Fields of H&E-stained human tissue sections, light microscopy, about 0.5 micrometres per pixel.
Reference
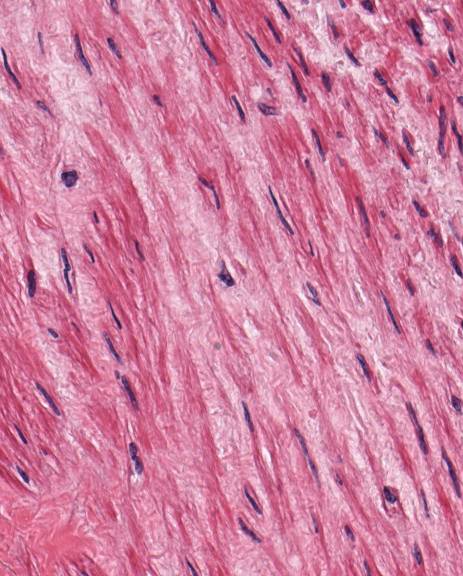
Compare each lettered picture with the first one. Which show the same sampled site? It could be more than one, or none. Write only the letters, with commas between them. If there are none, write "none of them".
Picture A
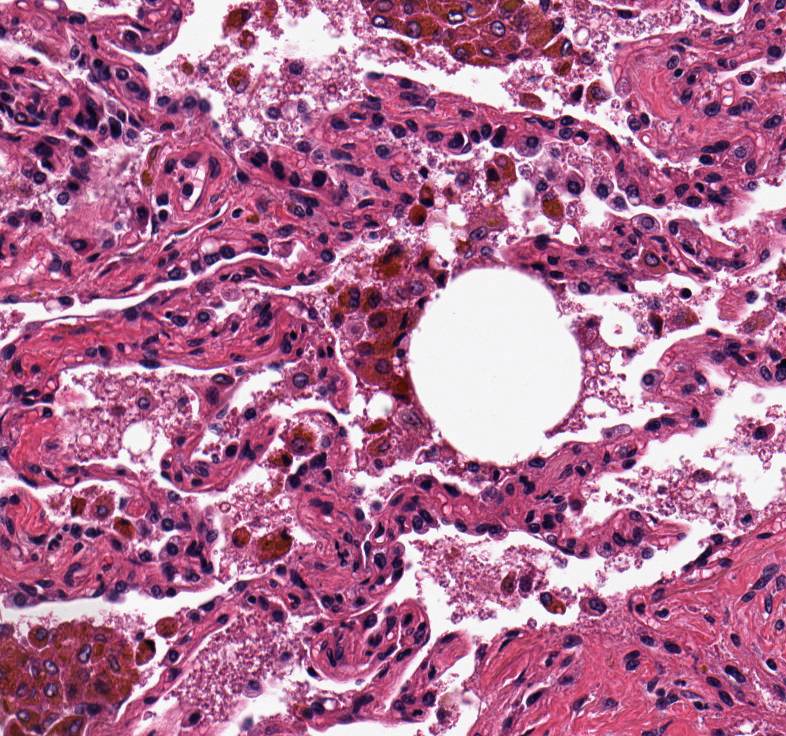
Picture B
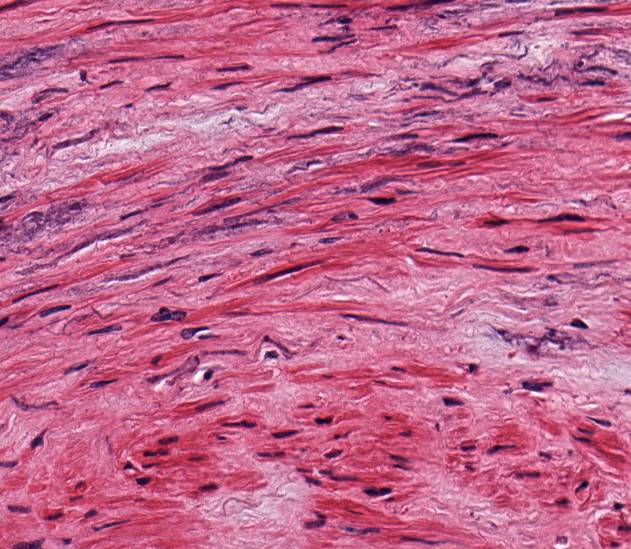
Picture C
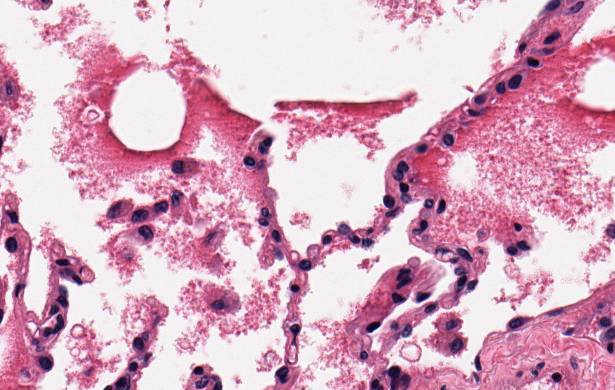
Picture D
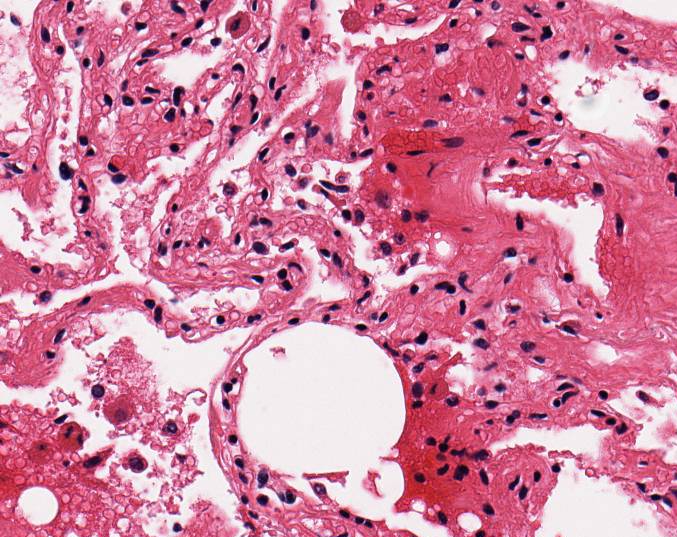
B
